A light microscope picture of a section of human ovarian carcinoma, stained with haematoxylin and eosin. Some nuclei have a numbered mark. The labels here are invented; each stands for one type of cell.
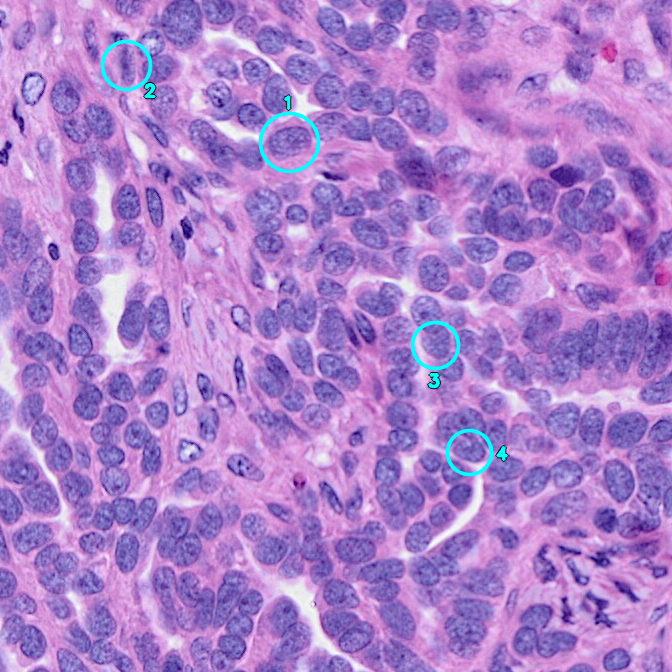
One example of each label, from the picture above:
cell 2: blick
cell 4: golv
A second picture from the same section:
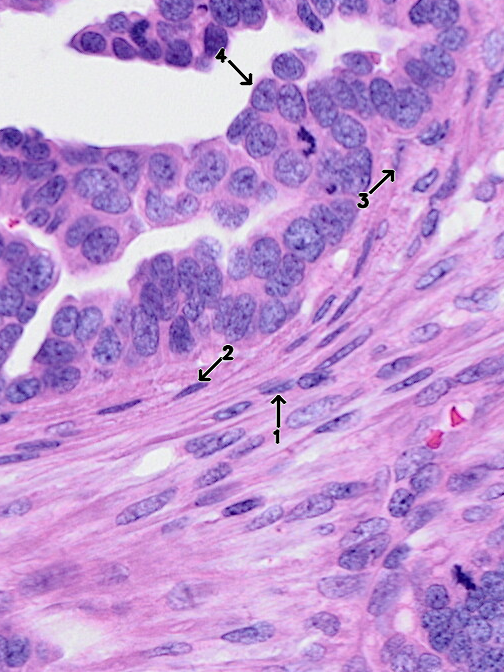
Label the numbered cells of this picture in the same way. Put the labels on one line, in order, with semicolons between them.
blick; blick; blick; golv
